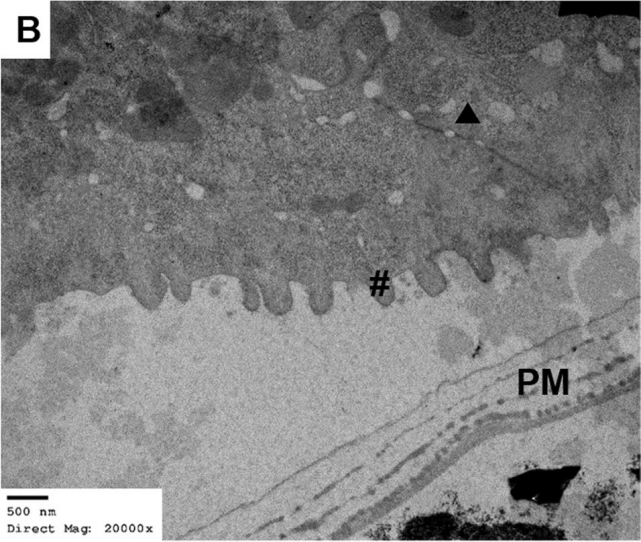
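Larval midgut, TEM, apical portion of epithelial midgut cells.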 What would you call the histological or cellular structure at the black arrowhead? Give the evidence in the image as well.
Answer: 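A thin line runs diagonally through the cytoplasm between two cell areas. That points to this answer: cell junction.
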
